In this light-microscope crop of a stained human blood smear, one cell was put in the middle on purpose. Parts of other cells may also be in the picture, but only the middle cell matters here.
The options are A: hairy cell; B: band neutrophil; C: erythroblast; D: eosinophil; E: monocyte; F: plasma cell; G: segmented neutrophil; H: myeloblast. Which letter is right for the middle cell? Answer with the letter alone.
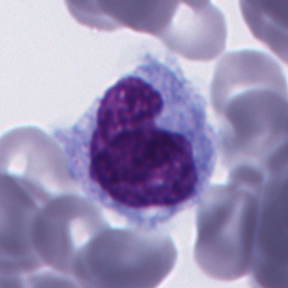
E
